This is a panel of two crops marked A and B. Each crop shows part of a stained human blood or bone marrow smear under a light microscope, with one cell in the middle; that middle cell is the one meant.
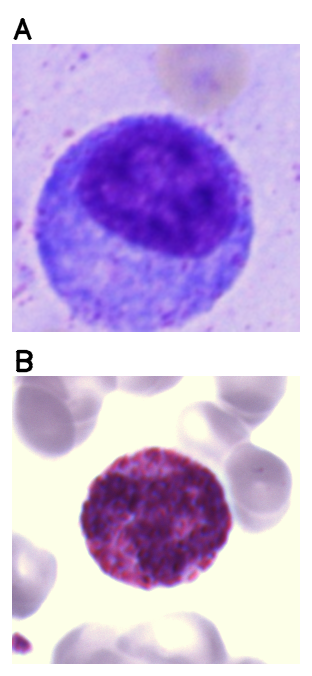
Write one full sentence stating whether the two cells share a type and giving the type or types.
No, crop A displays a promyelocyte and crop B displays a basophil.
